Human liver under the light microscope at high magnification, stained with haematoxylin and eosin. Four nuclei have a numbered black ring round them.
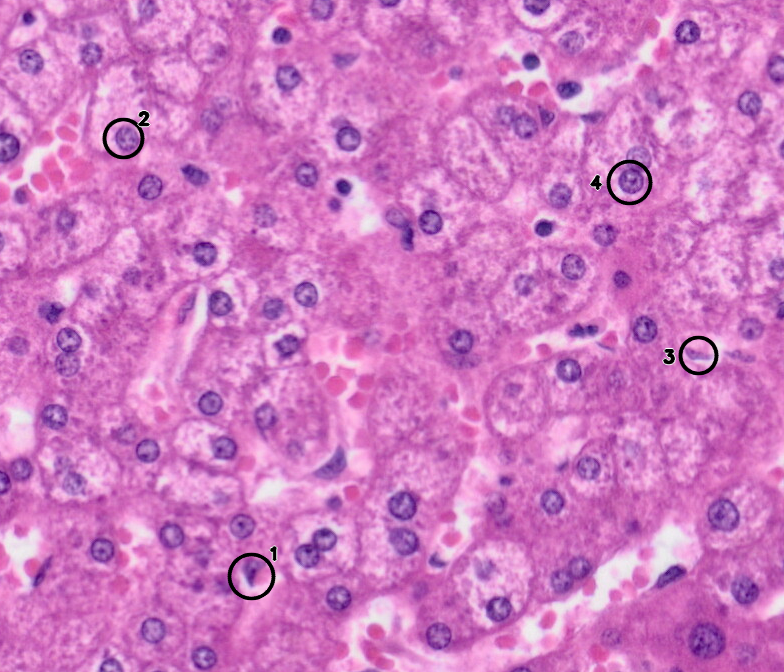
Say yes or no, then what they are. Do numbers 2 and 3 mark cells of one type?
No, cell 2 is a hepatocyte and cell 3 is an endothelial cell.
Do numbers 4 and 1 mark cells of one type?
No, cell 4 is a hepatocyte and cell 1 is an endothelial cell.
